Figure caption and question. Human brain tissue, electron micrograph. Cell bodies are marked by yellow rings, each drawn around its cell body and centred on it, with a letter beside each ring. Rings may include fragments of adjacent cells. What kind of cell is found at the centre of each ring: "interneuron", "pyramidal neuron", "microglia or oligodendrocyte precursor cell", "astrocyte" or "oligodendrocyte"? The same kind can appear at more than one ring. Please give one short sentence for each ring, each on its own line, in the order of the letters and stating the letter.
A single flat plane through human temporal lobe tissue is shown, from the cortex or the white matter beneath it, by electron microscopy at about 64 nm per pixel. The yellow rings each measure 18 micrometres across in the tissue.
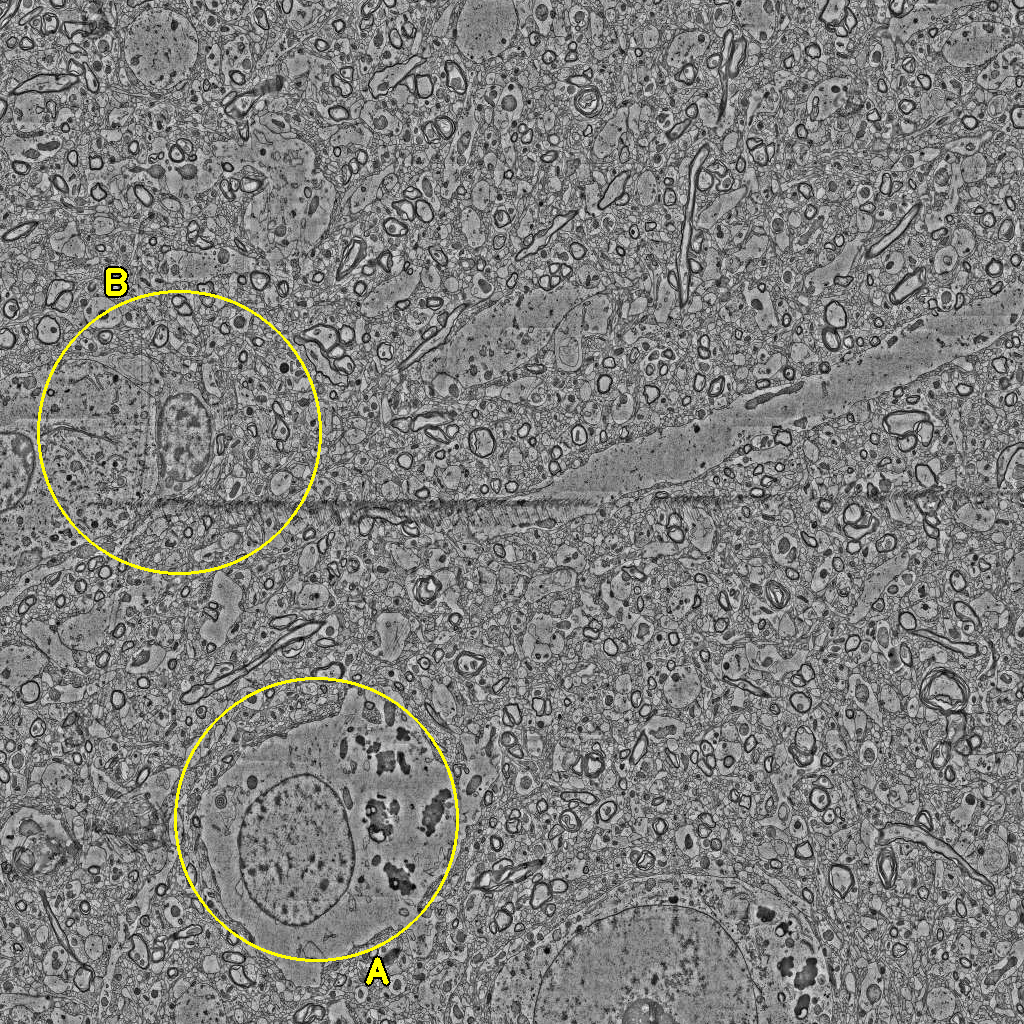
The centre of ring A falls on an astrocyte.
The centre of ring B falls on an oligodendrocyte.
